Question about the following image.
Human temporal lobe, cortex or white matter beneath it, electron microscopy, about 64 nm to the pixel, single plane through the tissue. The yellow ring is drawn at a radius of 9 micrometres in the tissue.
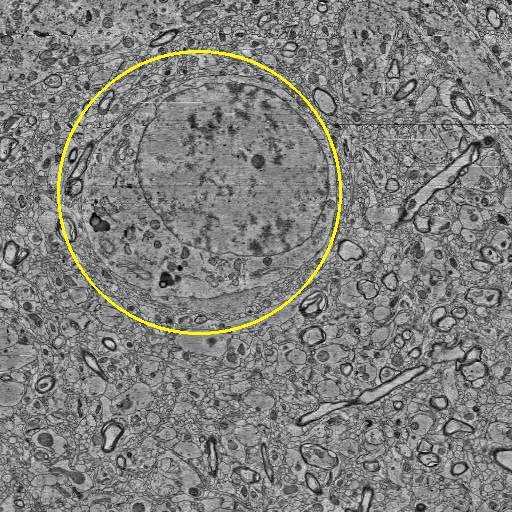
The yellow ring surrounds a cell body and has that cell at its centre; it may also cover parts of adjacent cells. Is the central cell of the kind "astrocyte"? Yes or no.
No, it is of another kind.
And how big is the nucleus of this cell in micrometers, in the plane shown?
In this plane the ringed cell's nucleus is roughly 12 micrometres across.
